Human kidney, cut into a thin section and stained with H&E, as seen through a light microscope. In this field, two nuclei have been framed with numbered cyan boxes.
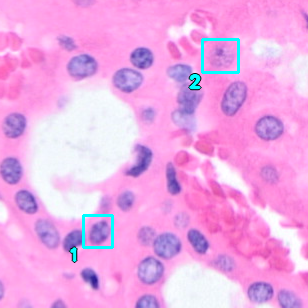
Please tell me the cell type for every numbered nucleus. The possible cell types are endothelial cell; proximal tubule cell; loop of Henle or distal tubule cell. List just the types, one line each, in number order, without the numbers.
loop of Henle or distal tubule cell
proximal tubule cell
